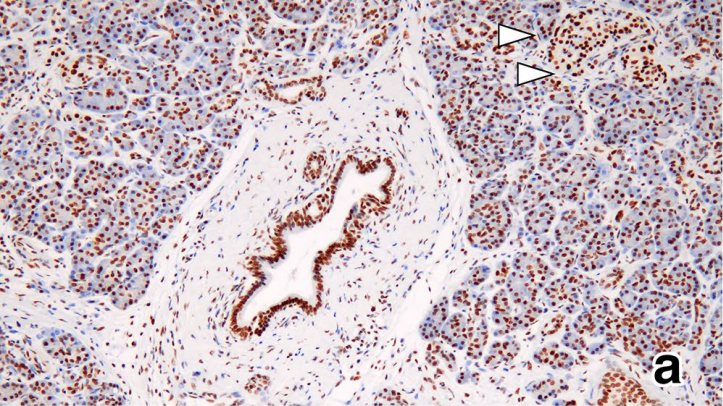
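This is normal pancreatic tissue with exocrine acini, a duct and endocrine islet tissue. The acini are made of pyramidal cells arranged around tiny lumina, with round nuclei that are mostly stained brown. In the centre a duct lined by a single layer of cuboidal cells, with strongly brown nuclei, lies within a sleeve of loose fibrous stroma. At the upper right a cluster of cells with more intensely brown nuclei stands out among the acini.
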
